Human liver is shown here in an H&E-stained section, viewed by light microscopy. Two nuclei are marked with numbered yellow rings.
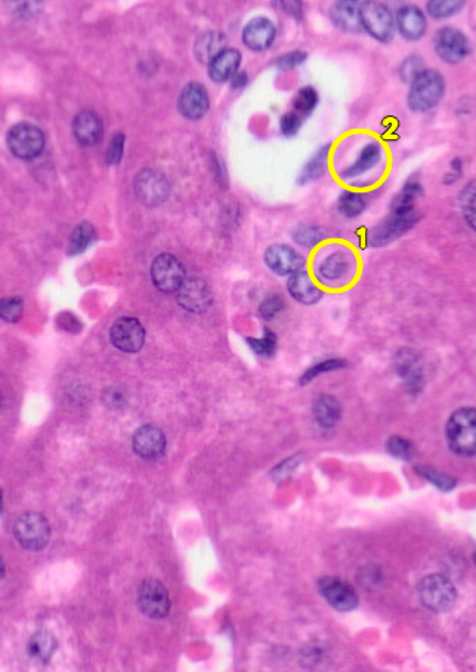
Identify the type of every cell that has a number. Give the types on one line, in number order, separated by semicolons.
cholangiocyte; fibroblast or stellate cell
